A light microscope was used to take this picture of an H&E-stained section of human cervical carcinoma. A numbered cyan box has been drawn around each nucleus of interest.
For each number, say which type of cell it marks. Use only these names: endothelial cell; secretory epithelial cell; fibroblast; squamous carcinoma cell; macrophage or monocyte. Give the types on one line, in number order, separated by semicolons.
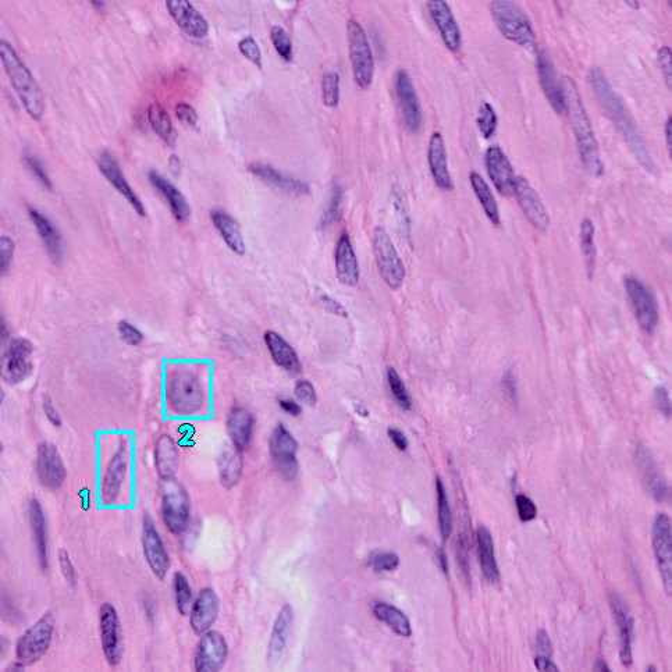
fibroblast; endothelial cell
